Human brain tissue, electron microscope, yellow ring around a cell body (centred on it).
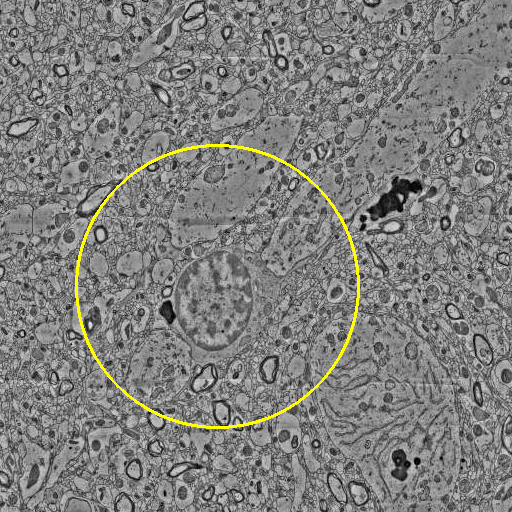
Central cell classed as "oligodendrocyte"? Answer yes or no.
yes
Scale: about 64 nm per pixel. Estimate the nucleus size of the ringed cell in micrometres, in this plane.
In this plane the nucleus measures roughly 6 by 5 micrometers.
